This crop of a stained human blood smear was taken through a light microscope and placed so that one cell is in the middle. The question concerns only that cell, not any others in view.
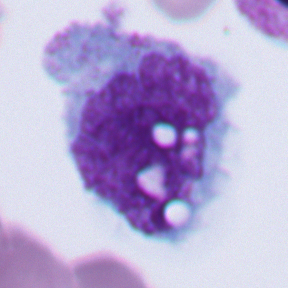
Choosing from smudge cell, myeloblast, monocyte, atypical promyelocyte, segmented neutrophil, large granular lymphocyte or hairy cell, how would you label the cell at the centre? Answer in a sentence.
The center cell of this crop is a monocyte.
